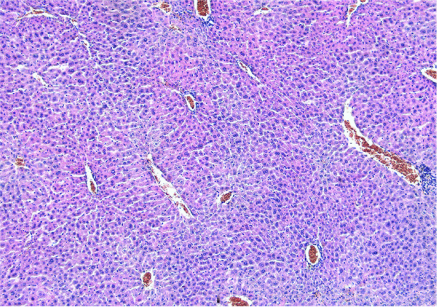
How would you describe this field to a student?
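This section of liver shows a dense, continuous parenchyma of hepatocytes with pink cytoplasm and round purple nuclei. The hepatocytes form closely packed plates with narrow spaces between them. Scattered small vessels and a larger vein contain red blood cells confined within their lumens. The tissue stains evenly pink-purple without pale or disrupted areas.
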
